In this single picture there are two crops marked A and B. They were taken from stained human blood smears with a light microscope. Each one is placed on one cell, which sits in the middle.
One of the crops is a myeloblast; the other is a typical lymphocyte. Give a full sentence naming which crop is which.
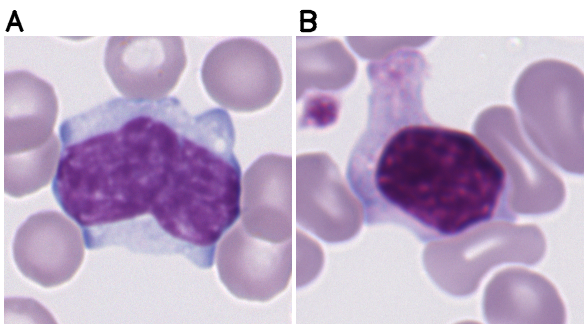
Taken crop by crop, crop A is a myeloblast and crop B is a typical lymphocyte.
